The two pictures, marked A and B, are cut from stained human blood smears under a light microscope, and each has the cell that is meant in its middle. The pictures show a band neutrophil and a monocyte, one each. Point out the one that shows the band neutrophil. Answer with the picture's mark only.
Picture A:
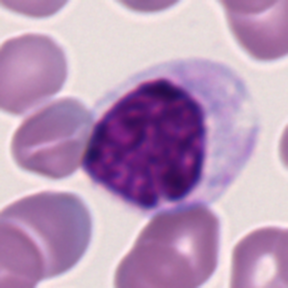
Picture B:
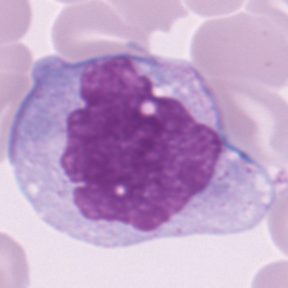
A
